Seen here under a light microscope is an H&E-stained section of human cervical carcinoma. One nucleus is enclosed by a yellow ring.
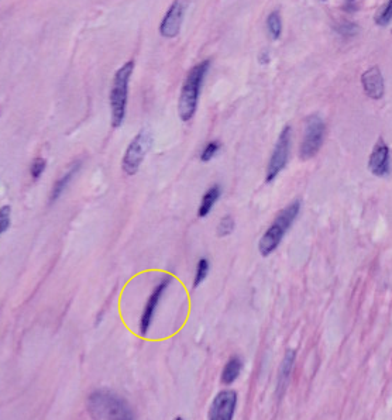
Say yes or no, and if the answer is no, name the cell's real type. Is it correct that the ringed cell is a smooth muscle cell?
No, it is a fibroblast.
